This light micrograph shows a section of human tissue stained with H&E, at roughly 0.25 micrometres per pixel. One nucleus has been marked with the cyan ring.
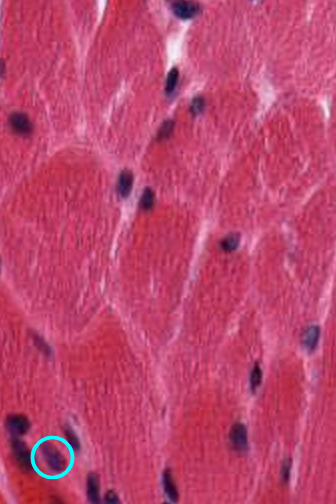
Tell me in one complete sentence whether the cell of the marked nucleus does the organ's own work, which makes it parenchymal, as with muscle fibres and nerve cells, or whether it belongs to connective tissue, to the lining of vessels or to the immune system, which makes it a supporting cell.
The marked nucleus corresponds to a parenchymal cell, namely a skeletal muscle fibre.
